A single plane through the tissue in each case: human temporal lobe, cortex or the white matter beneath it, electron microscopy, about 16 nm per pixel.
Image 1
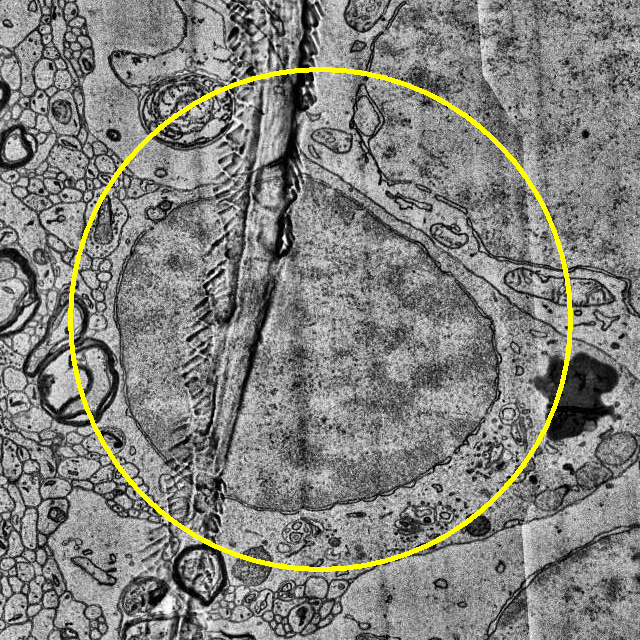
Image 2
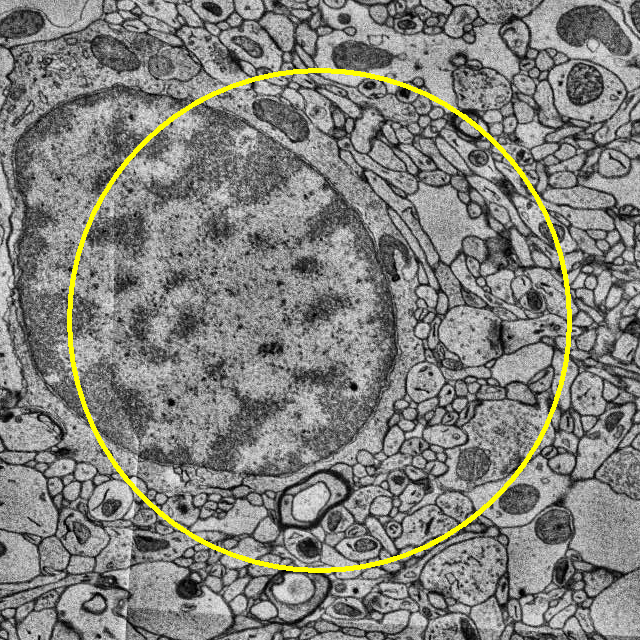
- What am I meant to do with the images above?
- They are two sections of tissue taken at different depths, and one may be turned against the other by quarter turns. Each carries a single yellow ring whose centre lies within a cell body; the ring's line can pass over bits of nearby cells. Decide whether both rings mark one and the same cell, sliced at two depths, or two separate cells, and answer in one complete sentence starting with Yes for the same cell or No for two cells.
No, each ring encloses a different cell in the tissue.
